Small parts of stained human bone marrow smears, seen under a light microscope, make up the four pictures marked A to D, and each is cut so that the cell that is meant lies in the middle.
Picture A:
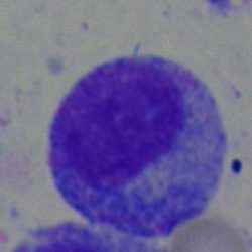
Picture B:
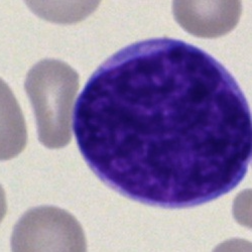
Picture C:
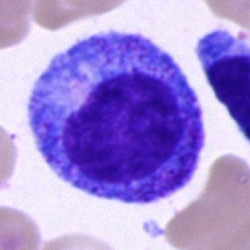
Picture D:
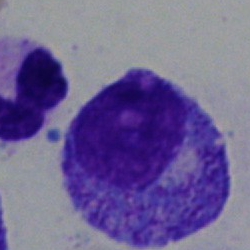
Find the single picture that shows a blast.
B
